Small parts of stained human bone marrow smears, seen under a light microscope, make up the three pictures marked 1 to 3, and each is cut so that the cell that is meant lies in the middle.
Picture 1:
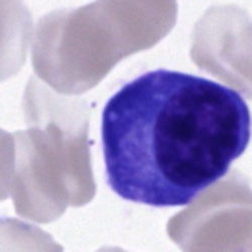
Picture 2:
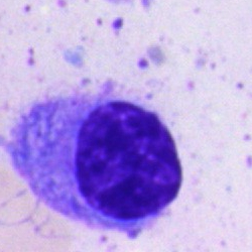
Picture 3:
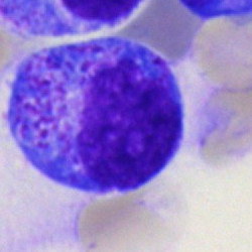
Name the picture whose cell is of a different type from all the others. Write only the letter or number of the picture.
3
